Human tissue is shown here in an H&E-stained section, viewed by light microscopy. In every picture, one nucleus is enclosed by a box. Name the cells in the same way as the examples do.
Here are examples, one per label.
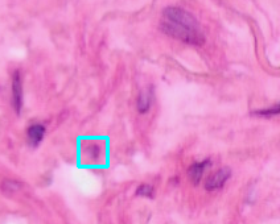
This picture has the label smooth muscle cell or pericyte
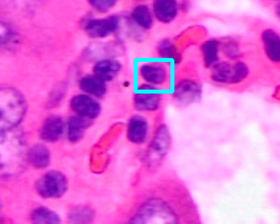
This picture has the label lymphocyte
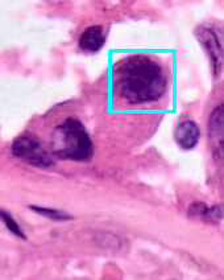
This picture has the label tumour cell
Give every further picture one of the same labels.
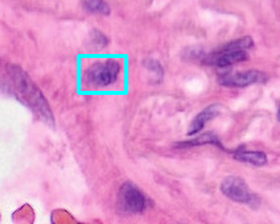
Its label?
smooth muscle cell or pericyte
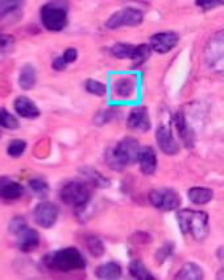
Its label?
lymphocyte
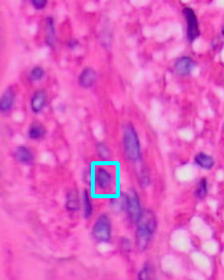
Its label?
smooth muscle cell or pericyte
